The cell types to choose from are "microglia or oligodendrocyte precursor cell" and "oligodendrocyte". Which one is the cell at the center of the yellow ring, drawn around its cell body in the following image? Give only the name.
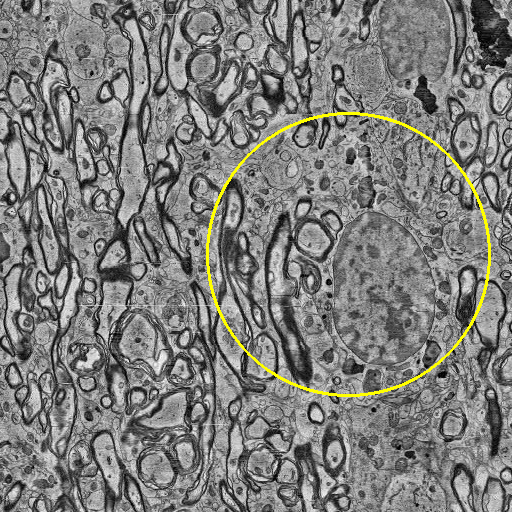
microglia or oligodendrocyte precursor cell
